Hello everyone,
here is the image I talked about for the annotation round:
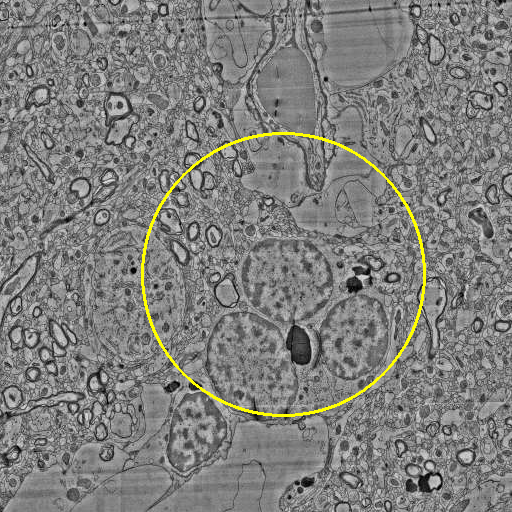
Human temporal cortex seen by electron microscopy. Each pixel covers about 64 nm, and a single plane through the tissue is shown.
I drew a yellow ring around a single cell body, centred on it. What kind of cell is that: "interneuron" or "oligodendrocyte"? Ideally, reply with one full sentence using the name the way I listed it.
The cell your yellow ring is centred on is an oligodendrocyte, going by your list.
